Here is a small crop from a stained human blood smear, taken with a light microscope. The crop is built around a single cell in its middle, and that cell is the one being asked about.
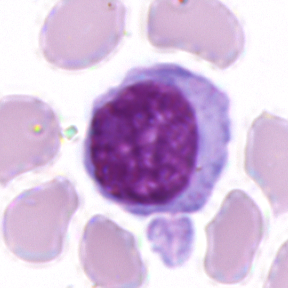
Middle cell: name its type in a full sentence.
What sits at the centre of this crop is a plasma cell.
